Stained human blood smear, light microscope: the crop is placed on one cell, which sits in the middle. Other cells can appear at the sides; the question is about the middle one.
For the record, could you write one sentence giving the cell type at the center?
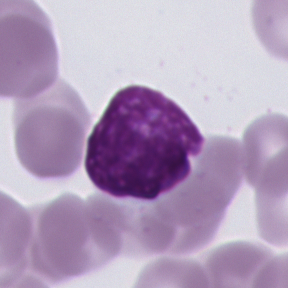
Here the cell in the middle is a smudge cell.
